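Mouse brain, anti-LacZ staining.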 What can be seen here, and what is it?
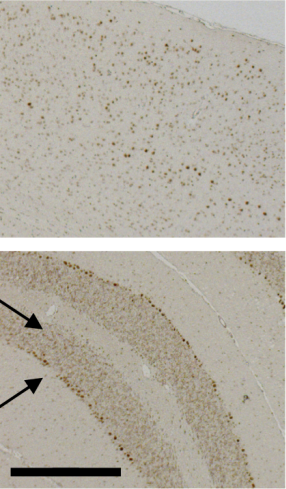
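In the upper image, many small, round, brown-stained nuclei lie scattered through several layers of the cortex beneath a pale surface zone. In the lower image, the cerebellar folia show a broad, densely packed granular layer of small stained cells. Along its outer border runs a single row of larger, darker stained Purkinje cells, and beyond that lies the pale molecular layer with few cells.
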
